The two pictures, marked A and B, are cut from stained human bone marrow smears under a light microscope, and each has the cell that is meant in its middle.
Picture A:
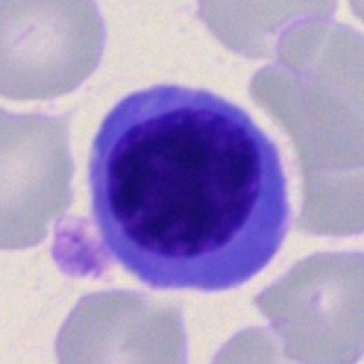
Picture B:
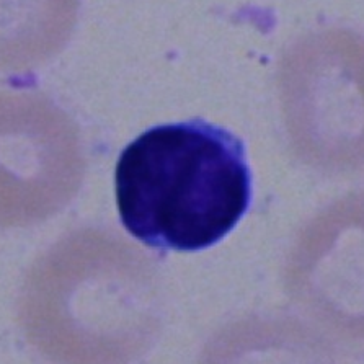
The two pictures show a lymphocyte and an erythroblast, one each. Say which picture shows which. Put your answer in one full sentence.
Picture A is of an erythroblast, and picture B is of a lymphocyte.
